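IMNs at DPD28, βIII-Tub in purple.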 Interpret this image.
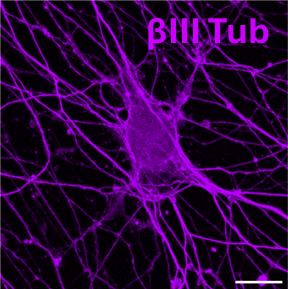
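This is a dense culture of nerve cells shown in purple. In the middle lies a large cell body, its cytoplasm glowing fairly evenly, from which several thick processes run outward in different directions. Around and over it lies a close meshwork of very many thin fibres from this and neighbouring cells, crossing each other, branching and running in long straight or gently curving lines across the whole field. Some fibres gather into loose bundles. The richness of this network of neurites, reaching far beyond any one cell, is the main thing to see here.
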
